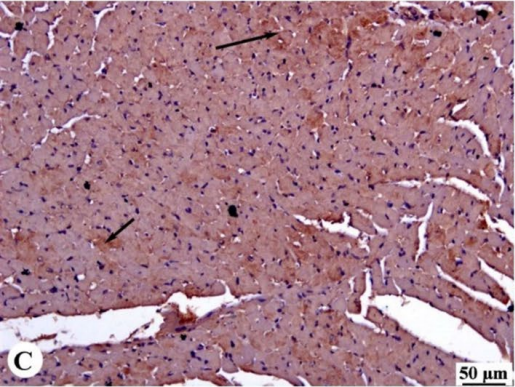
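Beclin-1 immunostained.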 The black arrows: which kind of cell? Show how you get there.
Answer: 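Arrows point to brownish patches within closely packed muscle fibres. Fibres have central oval blue nuclei and abundant pink-brown cytoplasm.
Cardiomyocytes.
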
